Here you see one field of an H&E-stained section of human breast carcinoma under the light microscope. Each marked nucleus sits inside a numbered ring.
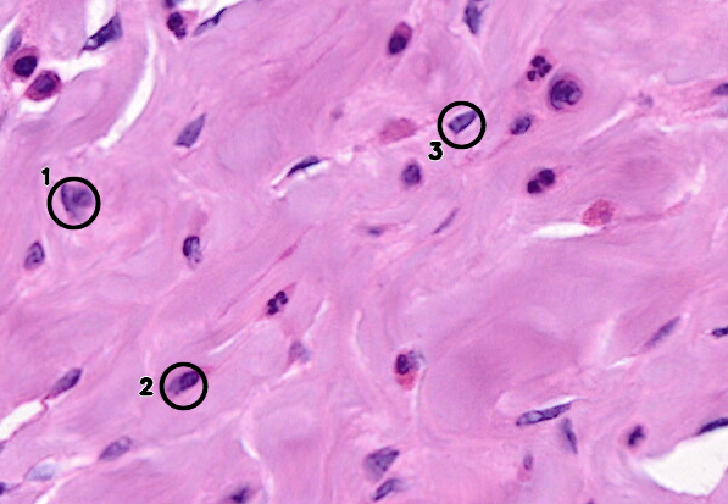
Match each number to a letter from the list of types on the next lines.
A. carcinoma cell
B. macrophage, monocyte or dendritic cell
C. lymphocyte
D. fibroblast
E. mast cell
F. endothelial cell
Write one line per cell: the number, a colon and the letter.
1: D
2: E
3: D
